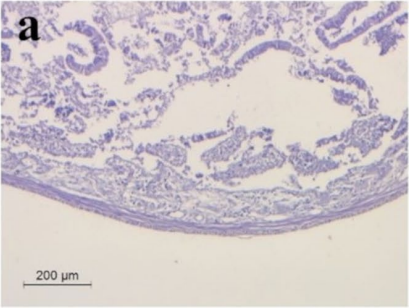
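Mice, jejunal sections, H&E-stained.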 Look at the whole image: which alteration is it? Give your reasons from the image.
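Fragments of detached mucosa float within the lumen. The mucosal lining along the wall is thin and disrupted. On this evidence: mucosal sloughing.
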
